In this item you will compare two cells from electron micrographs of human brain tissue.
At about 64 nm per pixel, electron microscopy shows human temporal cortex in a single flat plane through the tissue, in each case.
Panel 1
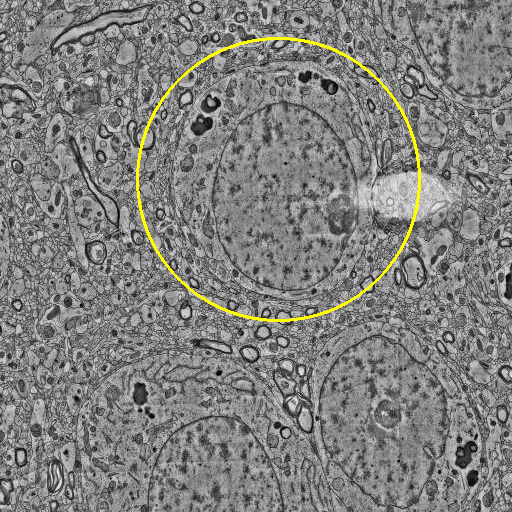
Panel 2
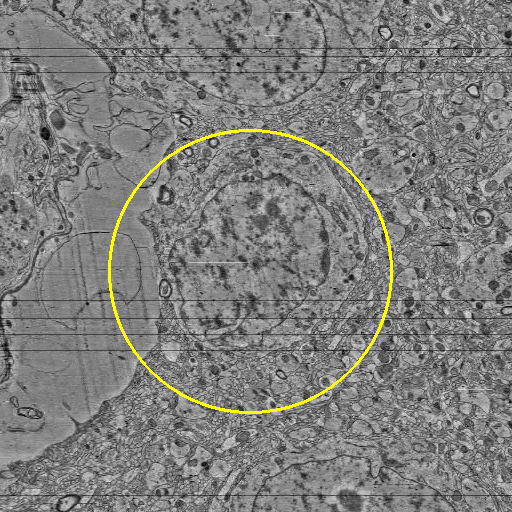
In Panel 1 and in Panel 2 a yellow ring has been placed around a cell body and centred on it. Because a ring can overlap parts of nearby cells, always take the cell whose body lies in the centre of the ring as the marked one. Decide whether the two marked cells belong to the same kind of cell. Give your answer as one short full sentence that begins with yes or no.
No, the two marked cells belong to two kinds of cell.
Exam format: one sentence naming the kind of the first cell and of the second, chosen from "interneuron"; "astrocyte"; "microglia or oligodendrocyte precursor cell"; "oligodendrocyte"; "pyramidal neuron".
The first picture's cell is a pyramidal neuron, and the second picture's cell is an interneuron.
